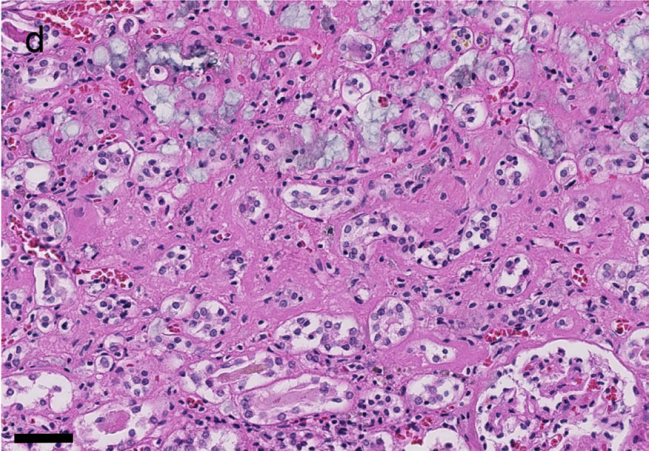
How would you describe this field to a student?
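Kidney cortex with widened interstitium between tubules. The tubules are small and widely spaced, lined by cuboidal cells with round dark nuclei. Broad pale pink fibrous tissue fills the space between them. Scattered in this interstitium are cells with pale, bluish-grey vacuolated cytoplasm, mostly toward the upper part of the field. A glomerulus with its capillary tuft lies at the lower right, and red blood cells are seen in small vessels at the upper left.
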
